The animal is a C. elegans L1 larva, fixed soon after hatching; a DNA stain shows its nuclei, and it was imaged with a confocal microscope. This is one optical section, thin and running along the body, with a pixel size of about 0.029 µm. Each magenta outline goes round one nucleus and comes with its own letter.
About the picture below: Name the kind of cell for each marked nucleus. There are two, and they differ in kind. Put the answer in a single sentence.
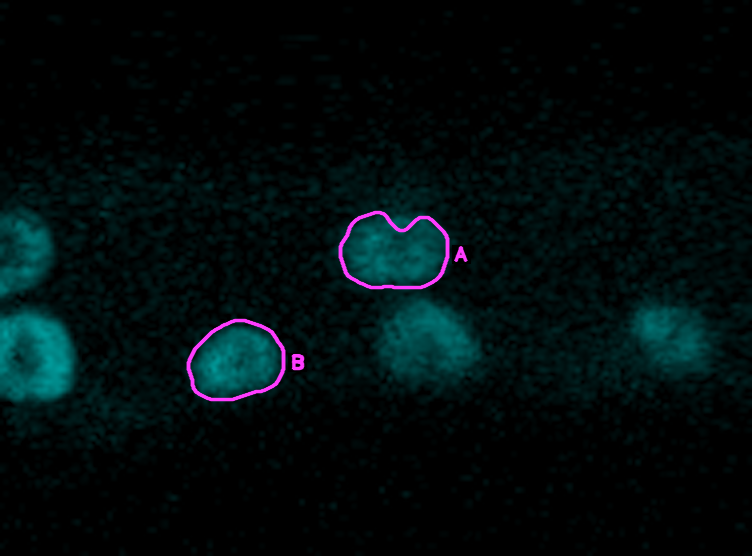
A is from a hypodermal cell (hyp), and B is from a P cell (ventral epidermal blast cell).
